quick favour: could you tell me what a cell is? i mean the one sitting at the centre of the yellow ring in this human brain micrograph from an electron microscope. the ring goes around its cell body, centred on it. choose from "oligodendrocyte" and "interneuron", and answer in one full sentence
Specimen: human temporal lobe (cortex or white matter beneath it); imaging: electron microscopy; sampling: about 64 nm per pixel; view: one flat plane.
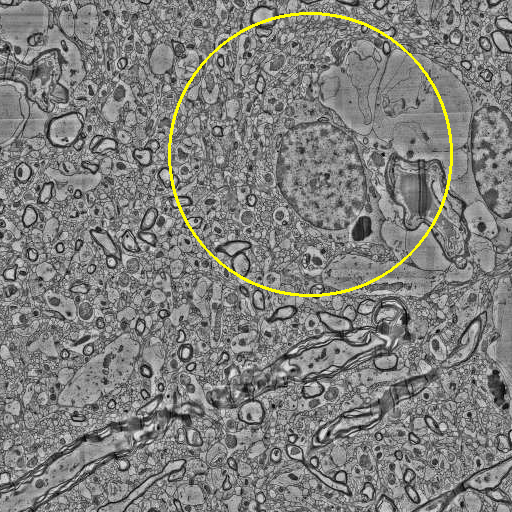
That's an oligodendrocyte, the cell sitting at the centre of the yellow ring.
